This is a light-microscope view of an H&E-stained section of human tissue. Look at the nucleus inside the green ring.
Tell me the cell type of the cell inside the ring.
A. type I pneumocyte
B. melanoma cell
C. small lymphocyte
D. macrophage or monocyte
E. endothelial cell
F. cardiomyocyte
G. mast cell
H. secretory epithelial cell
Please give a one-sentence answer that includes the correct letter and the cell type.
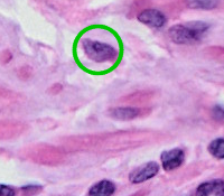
Option D is right, and the cell inside the ring is a macrophage or monocyte.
